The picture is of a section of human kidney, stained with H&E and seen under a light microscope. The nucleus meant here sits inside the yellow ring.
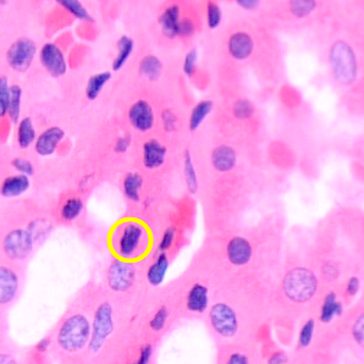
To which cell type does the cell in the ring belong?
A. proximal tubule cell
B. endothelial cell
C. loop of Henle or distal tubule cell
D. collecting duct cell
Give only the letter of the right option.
C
